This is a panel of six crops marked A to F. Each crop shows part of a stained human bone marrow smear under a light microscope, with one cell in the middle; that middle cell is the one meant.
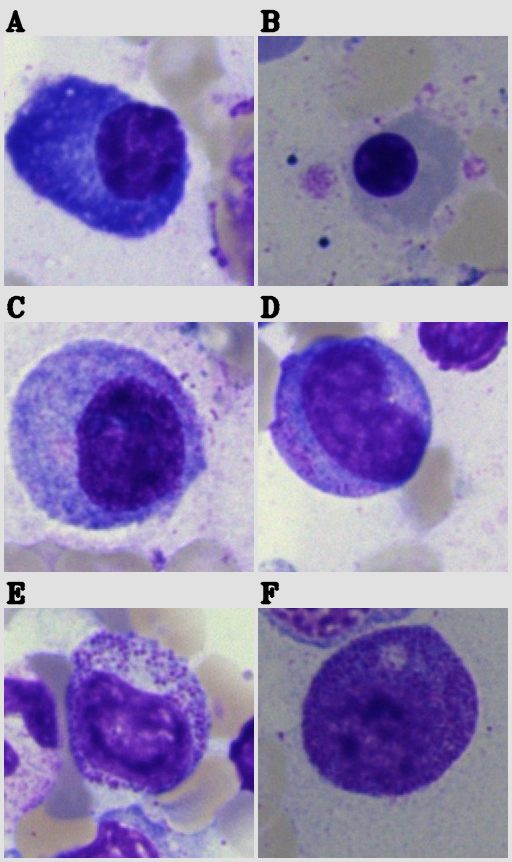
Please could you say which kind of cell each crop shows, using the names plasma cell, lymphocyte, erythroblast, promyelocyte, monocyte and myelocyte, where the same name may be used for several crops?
A: plasma cell
B: erythroblast
C: promyelocyte
D: monocyte
E: myelocyte
F: promyelocyte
